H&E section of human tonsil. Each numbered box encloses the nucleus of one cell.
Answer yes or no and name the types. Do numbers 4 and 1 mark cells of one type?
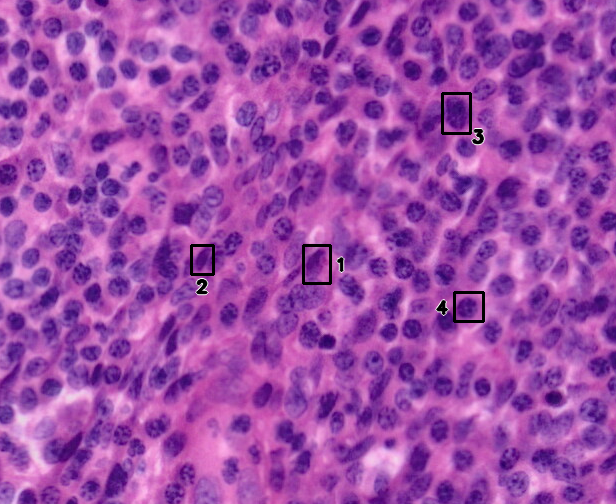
No, cell 4 is a plasma cell and cell 1 is a squamous epithelial cell.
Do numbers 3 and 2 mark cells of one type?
Yes, both are squamous epithelial cells.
